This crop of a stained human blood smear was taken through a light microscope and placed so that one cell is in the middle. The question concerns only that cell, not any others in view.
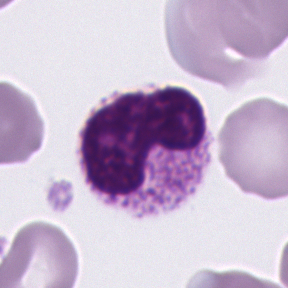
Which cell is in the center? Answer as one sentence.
Of the cells in this crop, the central one is a band neutrophil.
